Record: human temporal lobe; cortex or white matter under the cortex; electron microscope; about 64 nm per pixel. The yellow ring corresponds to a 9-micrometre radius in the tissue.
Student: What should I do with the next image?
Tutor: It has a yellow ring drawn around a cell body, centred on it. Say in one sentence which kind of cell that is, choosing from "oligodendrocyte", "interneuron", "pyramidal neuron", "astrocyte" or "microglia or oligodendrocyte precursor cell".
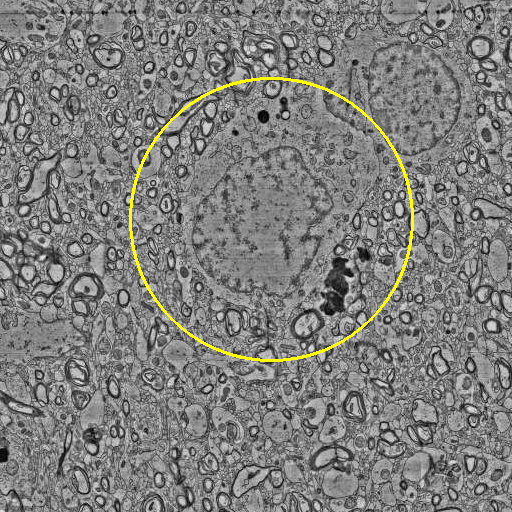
The ring's centre is occupied by an interneuron.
